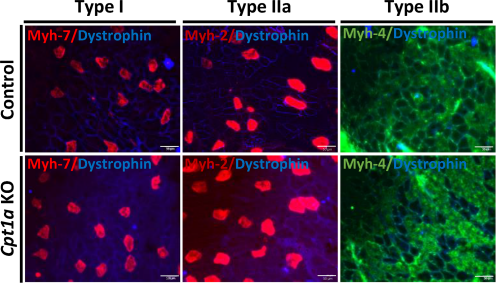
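These are cross-sections of skeletal muscle in which each muscle fiber is outlined by a thin blue rim at its border, giving a honeycomb-like mosaic of polygonal fiber profiles. In the images with red staining, only a minority of fibers are filled red, and they are scattered singly or in small clusters among unstained fibers.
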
